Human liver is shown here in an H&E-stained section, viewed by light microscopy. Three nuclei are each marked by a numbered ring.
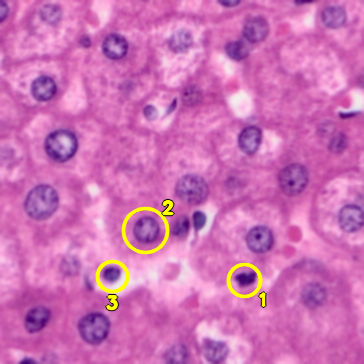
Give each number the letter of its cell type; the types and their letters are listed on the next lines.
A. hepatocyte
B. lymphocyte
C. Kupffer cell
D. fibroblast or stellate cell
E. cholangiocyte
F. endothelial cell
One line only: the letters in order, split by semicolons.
D; A; B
